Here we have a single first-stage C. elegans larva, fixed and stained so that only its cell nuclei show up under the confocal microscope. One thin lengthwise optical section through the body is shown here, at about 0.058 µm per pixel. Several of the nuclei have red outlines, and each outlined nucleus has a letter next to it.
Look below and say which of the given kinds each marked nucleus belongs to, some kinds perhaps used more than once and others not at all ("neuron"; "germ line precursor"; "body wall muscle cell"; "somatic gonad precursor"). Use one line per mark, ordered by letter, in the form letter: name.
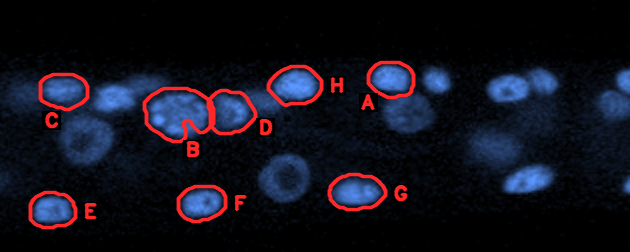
A: neuron
B: germ line precursor
C: neuron
D: somatic gonad precursor
E: body wall muscle cell
F: body wall muscle cell
G: body wall muscle cell
H: neuron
